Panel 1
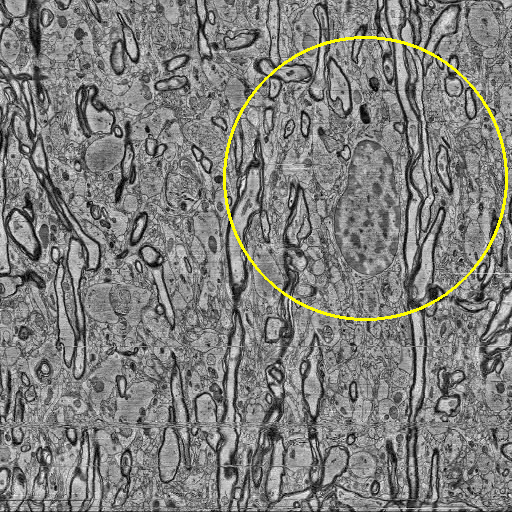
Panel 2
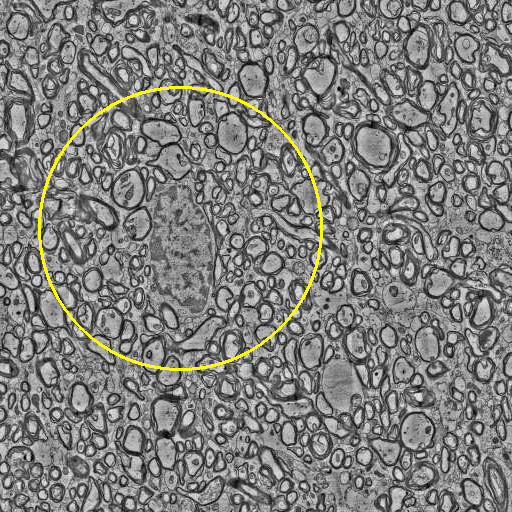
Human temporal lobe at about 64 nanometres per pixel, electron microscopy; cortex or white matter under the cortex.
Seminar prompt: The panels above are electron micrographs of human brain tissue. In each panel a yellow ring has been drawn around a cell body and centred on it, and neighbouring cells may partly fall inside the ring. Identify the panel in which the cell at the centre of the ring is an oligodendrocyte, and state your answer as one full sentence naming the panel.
Panel 2 has it at the centre of its ring.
